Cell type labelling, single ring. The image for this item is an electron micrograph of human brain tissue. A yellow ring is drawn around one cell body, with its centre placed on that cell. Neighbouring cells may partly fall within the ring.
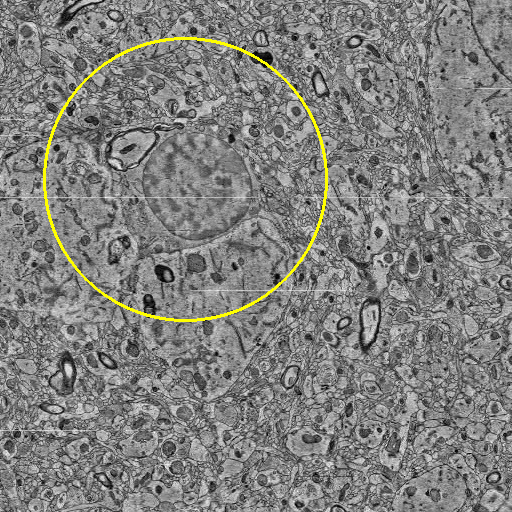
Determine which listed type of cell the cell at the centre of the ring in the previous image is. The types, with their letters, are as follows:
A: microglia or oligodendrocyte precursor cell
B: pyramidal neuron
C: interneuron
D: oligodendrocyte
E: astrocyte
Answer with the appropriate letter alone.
D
